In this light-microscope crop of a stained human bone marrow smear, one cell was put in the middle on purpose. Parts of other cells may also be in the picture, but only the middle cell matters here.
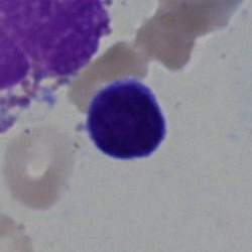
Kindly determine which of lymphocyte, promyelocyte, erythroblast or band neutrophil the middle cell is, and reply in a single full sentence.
The centrally located cell in the crop is a lymphocyte.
